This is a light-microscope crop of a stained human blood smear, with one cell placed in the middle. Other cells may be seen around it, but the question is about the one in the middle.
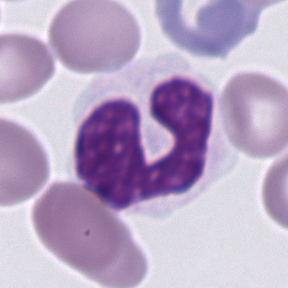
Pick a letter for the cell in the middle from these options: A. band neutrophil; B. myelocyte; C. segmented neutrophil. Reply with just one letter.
A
